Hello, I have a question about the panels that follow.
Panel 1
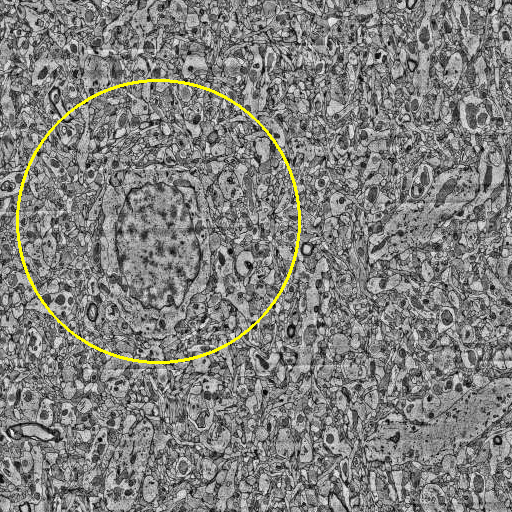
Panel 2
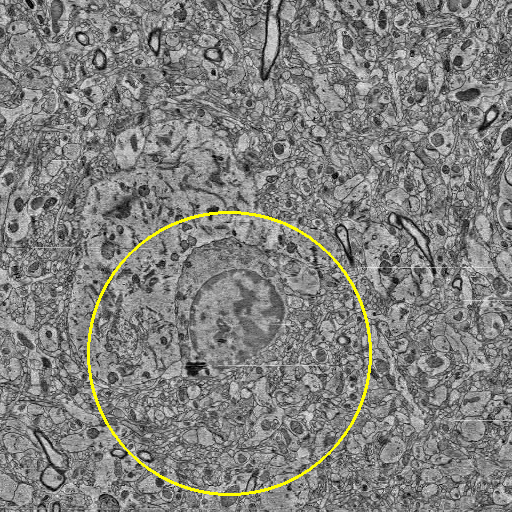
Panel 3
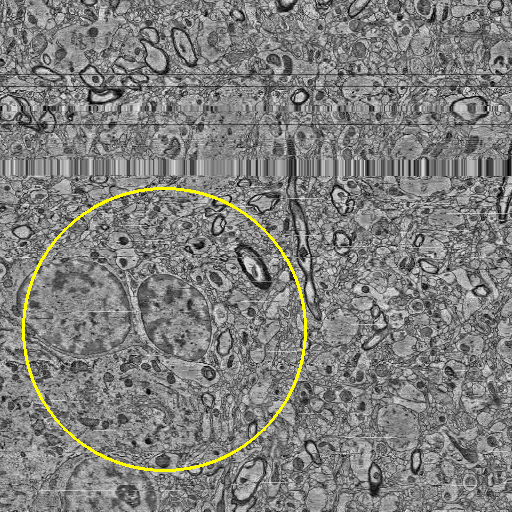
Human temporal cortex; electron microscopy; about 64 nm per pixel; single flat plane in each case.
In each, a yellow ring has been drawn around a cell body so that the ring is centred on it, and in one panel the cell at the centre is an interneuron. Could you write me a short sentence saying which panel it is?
It is Panel 1.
